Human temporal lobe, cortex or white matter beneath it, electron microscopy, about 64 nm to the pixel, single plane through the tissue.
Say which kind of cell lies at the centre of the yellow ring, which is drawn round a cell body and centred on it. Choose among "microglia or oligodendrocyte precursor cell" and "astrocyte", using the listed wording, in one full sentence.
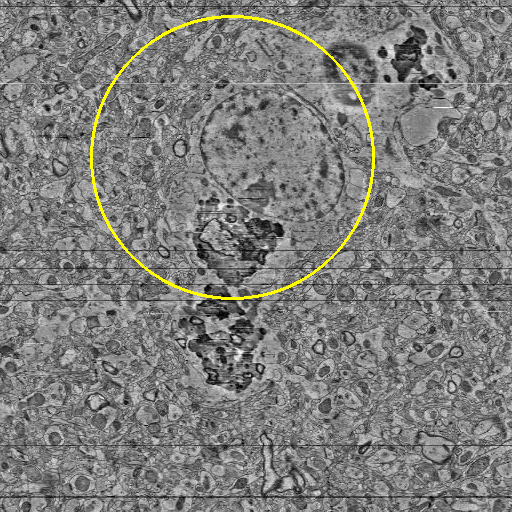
Going by the list, the cell at the yellow ring's centre is an astrocyte.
